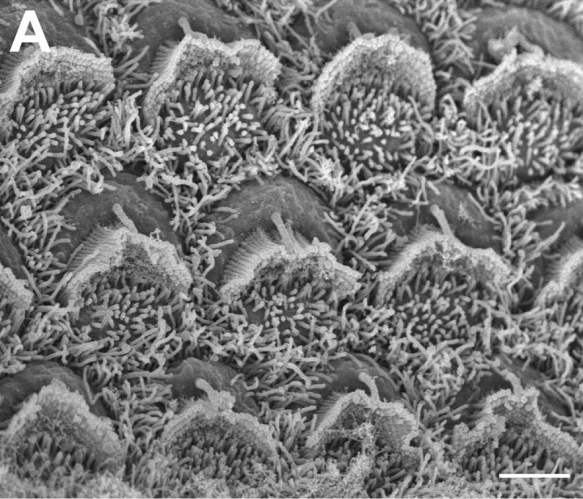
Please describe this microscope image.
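This is a surface view of the sensory epithelium of the cochlea showing outer hair cells in rows. Each hair cell has a rounded apical surface with a crescent-shaped bundle of stereocilia along one edge, the bundles all facing the same way and forming a neat pattern across the rows. Between the hair cells, the surfaces of supporting cells are densely covered with microvilli that give a shaggy texture. A single rod-like projection stands near the bundle on several cells.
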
